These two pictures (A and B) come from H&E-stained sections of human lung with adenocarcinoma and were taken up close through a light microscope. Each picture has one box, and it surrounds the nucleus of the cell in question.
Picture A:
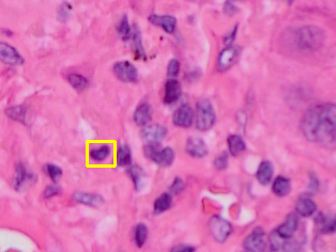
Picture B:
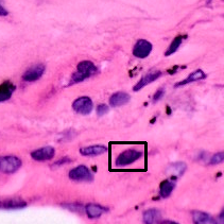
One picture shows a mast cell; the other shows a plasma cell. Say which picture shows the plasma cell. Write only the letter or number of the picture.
B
